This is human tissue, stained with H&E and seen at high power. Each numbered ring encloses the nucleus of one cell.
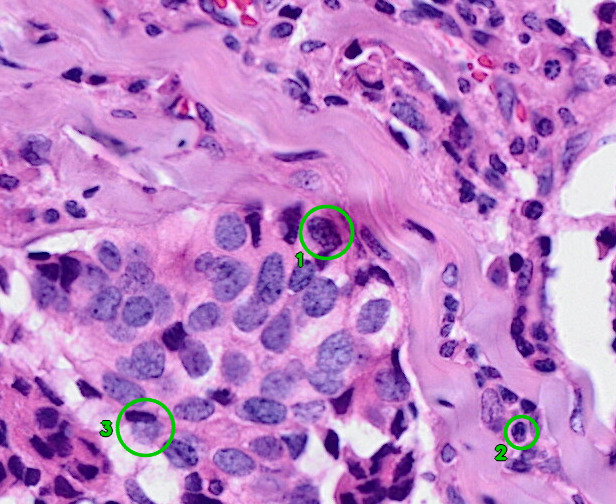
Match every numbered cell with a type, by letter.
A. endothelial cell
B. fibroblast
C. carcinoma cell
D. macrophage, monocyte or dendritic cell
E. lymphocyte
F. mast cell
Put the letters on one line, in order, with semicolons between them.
C; E; C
